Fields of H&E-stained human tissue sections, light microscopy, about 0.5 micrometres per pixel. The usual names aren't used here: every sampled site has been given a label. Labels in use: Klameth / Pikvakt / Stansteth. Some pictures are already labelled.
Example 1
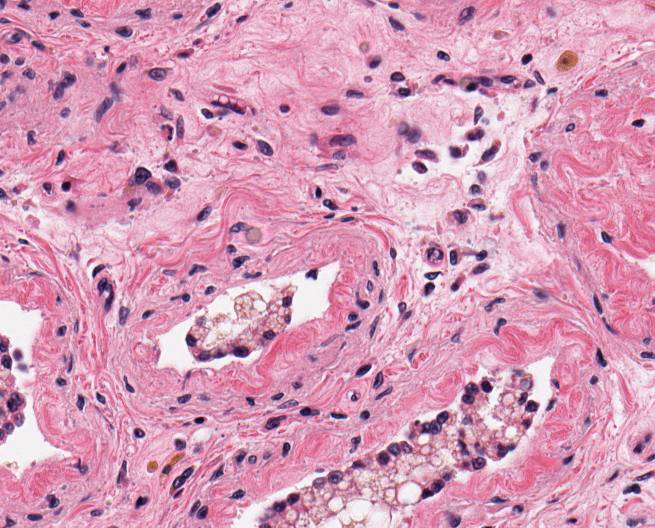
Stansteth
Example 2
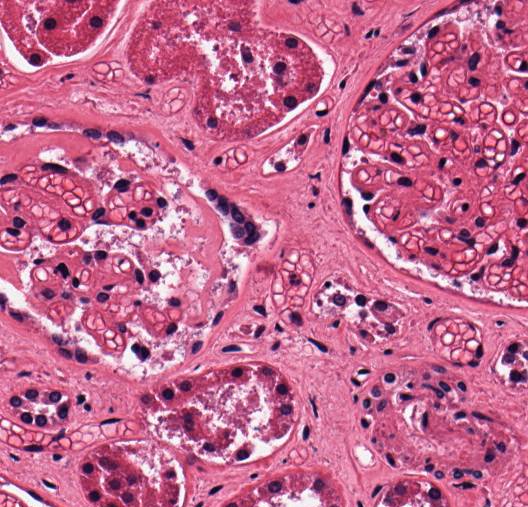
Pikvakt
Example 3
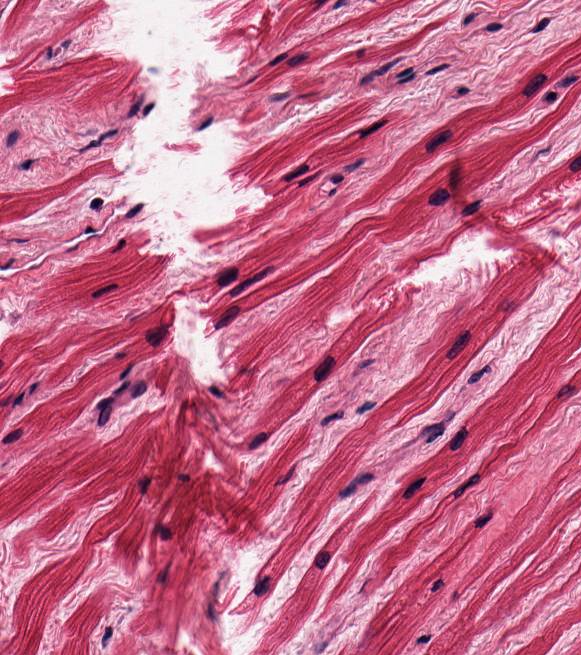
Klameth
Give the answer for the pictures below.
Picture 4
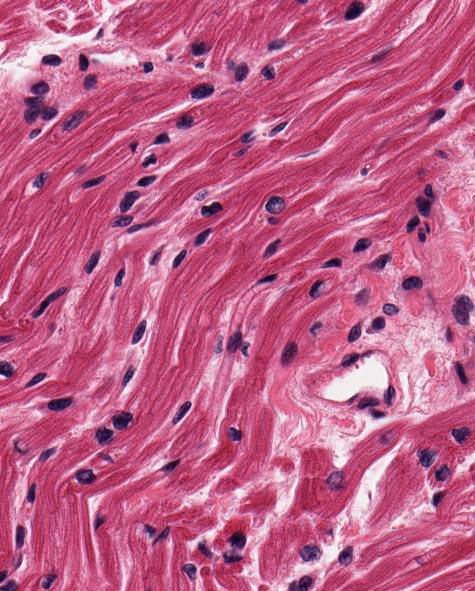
Klameth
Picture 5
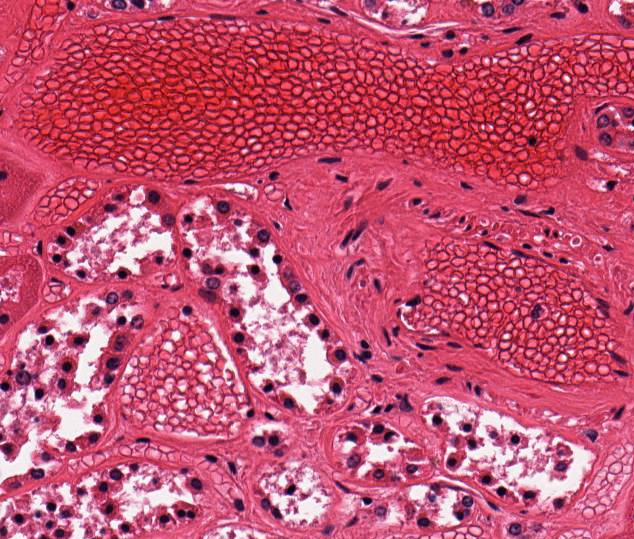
Pikvakt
